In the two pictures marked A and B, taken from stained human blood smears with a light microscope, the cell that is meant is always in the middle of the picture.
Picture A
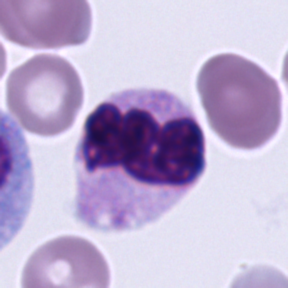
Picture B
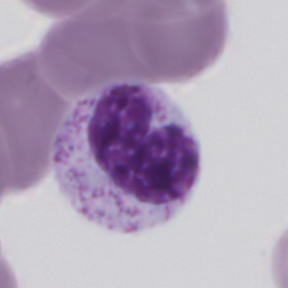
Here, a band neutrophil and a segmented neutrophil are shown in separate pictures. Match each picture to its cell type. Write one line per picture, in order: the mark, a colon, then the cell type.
A: segmented neutrophil
B: band neutrophil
